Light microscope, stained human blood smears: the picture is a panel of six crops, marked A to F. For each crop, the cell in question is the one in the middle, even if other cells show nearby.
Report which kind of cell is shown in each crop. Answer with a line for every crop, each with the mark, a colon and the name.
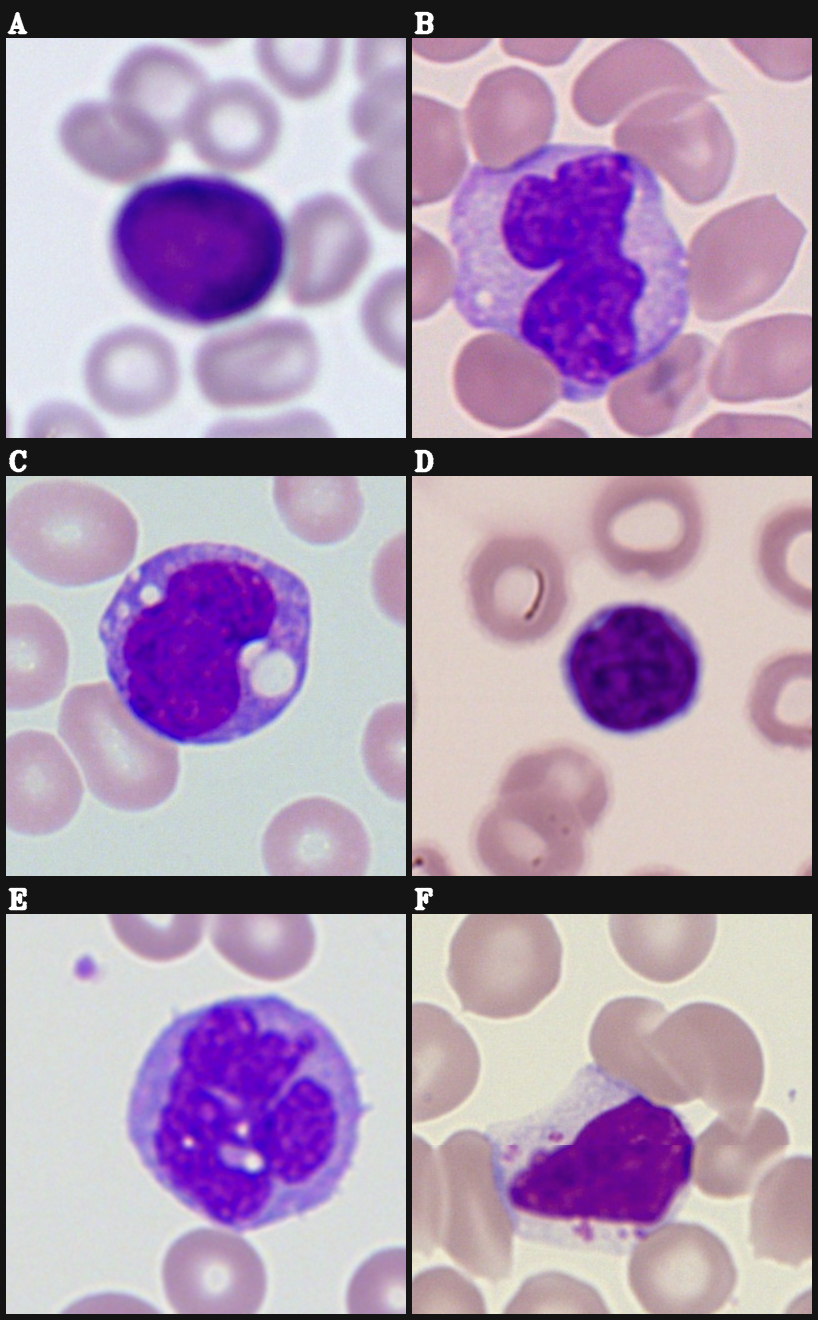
A: blast
B: monocyte
C: monocyte
D: lymphocyte
E: monocyte
F: lymphocyte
